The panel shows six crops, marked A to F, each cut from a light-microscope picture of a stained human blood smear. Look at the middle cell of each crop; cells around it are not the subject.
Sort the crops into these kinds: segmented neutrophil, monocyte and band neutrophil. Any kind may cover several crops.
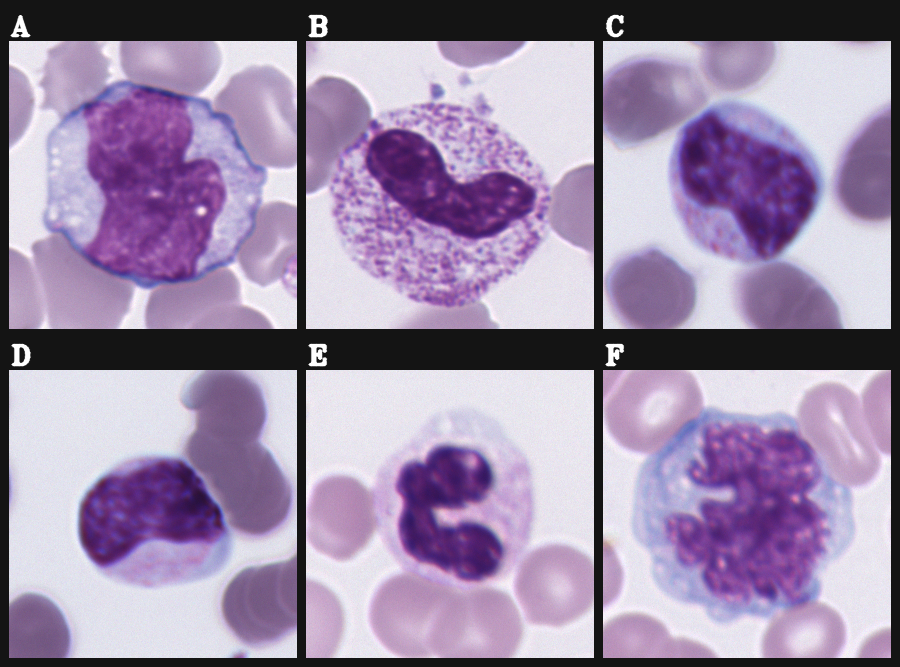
A: monocyte
B: band neutrophil
C: band neutrophil
D: band neutrophil
E: segmented neutrophil
F: monocyte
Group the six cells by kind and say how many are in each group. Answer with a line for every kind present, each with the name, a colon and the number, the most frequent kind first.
band neutrophil: 3
monocyte: 2
segmented neutrophil: 1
